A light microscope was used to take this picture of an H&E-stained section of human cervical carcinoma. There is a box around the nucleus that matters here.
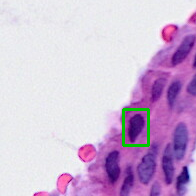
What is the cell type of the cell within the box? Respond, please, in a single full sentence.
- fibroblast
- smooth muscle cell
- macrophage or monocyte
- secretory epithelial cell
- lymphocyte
The cell type represented by the cell within the box is that of a secretory epithelial cell.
